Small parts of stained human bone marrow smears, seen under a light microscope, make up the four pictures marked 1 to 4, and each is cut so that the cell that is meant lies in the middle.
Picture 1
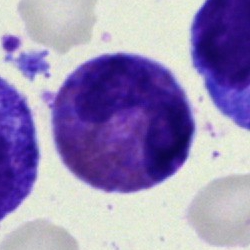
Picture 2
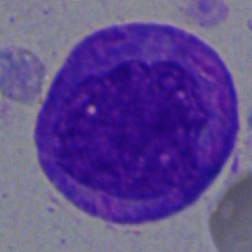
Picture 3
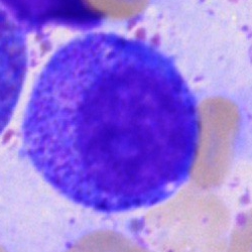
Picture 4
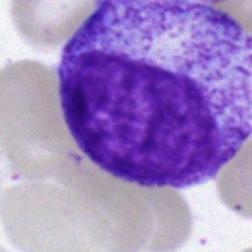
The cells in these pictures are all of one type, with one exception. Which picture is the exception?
1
